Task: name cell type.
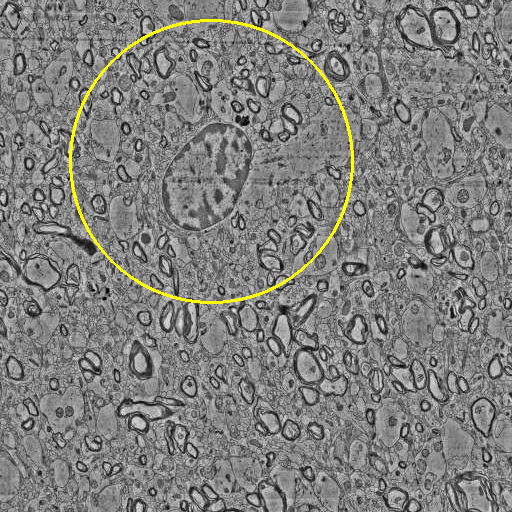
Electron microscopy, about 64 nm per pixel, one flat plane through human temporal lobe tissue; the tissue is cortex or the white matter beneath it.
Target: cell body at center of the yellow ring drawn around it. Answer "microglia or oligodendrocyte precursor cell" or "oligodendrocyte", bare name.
microglia or oligodendrocyte precursor cell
